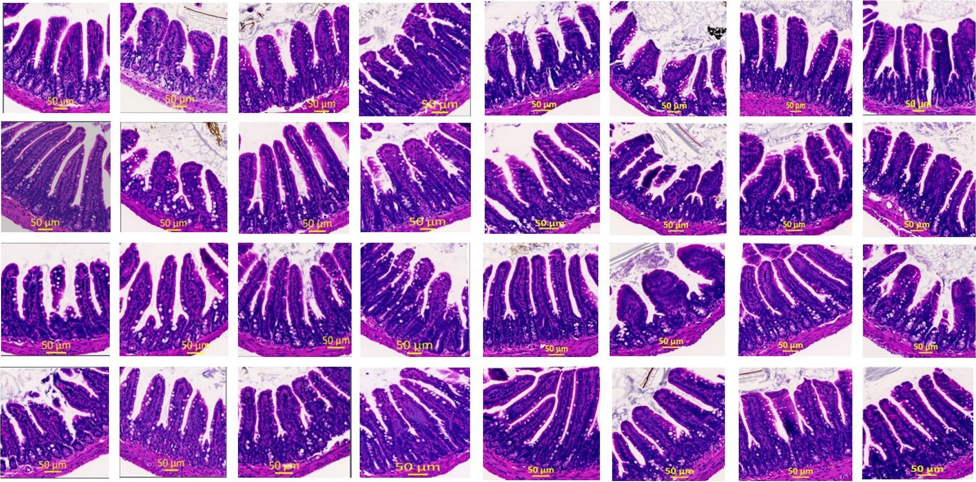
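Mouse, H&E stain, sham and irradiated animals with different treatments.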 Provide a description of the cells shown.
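Grid of small-intestinal wall sections showing mucosa with tall finger-like villi and basal crypts. Villi are lined by a dense purple columnar epithelium with scattered pale round vacuoles consistent with goblet cells. Crypts sit in a compact band at the villus bases above a thin pink muscular layer. Villus length and breadth vary between tiles, with some showing shorter, broader villi. Nuclear detail is small at this magnification.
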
